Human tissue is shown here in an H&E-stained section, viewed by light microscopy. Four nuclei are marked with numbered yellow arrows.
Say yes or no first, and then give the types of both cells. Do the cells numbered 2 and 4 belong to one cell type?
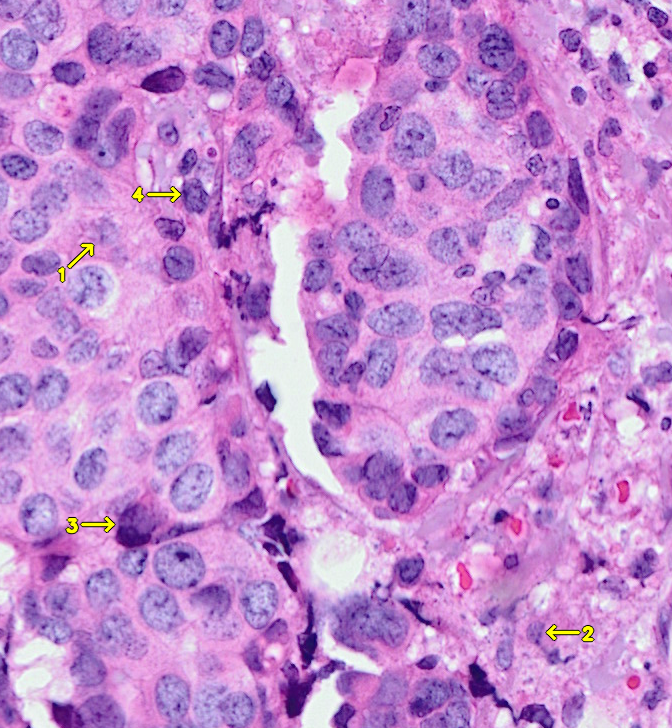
No, cell 2 is a macrophage, monocyte or dendritic cell and cell 4 is a carcinoma cell.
